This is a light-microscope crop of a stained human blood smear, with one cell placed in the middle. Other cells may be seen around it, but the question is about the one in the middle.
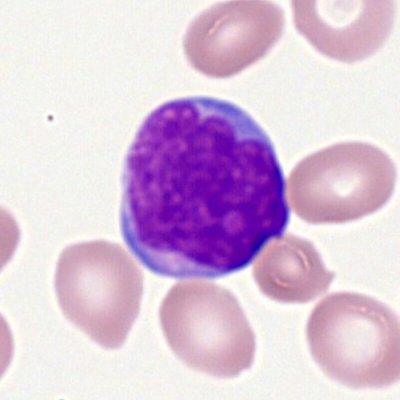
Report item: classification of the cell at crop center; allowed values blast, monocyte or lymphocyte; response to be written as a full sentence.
The middle position in this crop is taken by a blast.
